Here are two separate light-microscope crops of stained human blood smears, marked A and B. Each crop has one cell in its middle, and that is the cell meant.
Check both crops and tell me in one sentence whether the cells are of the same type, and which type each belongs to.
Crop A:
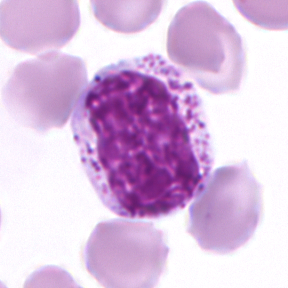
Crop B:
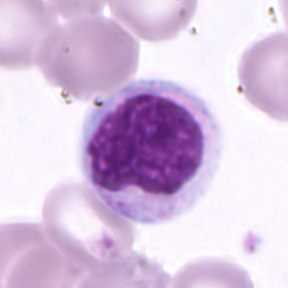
Yes, both crops show metamyelocytes, and the two match.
